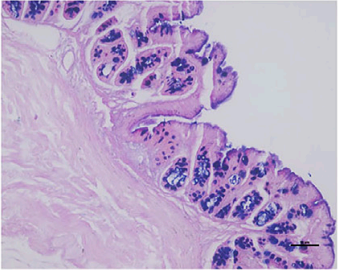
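This is colonic wall in which a broad, pale pink, loosely textured connective tissue layer occupies much of the field beside the mucosa. Pink-staining stroma separates the crypts.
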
